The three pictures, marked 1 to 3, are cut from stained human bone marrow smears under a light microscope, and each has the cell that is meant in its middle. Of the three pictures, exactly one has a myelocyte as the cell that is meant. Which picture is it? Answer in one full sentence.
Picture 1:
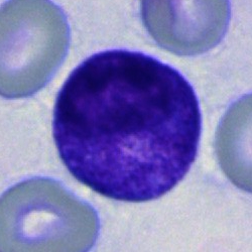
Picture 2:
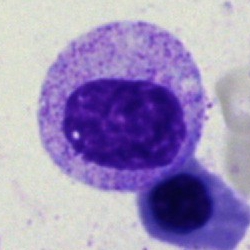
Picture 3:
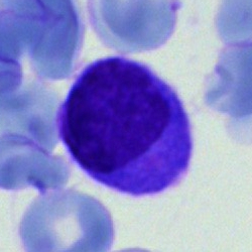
The myelocyte is the one in picture 2.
